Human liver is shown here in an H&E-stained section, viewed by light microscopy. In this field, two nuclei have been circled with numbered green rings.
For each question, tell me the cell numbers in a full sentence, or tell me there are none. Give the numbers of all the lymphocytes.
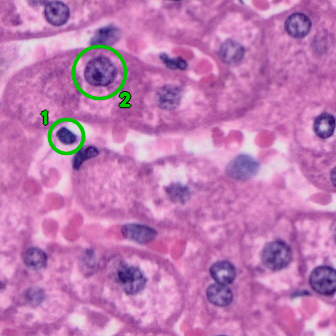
Only the nucleus marked 1 is that of a lymphocyte.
